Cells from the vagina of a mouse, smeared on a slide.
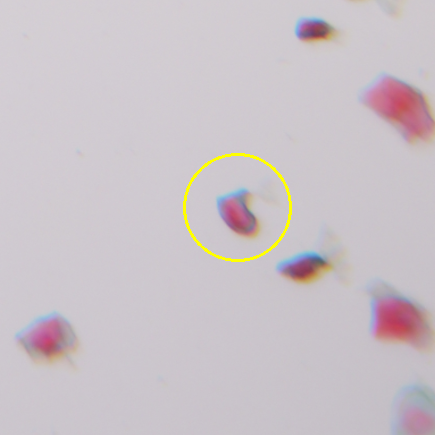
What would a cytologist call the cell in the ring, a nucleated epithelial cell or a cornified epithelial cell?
A cytologist would call it a cornified epithelial cell.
